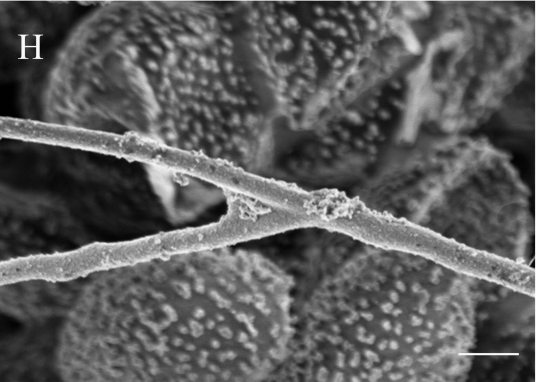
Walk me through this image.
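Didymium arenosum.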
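Slender threads of capillitium cross over a cluster of spores in this scanning electron micrograph. The threads are smooth to slightly roughened and branch where they meet. Beneath them lie round spores whose surfaces are densely studded with small warts. Some spores appear partly collapsed or folded.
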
